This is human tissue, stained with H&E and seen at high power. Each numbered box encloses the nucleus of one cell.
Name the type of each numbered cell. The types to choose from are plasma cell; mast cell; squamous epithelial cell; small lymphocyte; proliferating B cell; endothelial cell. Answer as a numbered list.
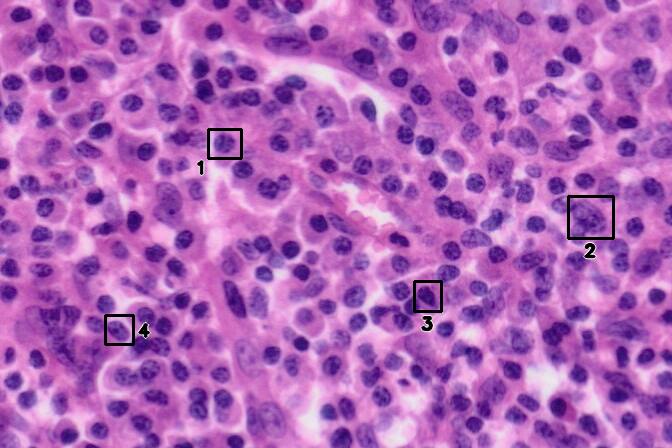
1. plasma cell
2. squamous epithelial cell
3. plasma cell
4. plasma cell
